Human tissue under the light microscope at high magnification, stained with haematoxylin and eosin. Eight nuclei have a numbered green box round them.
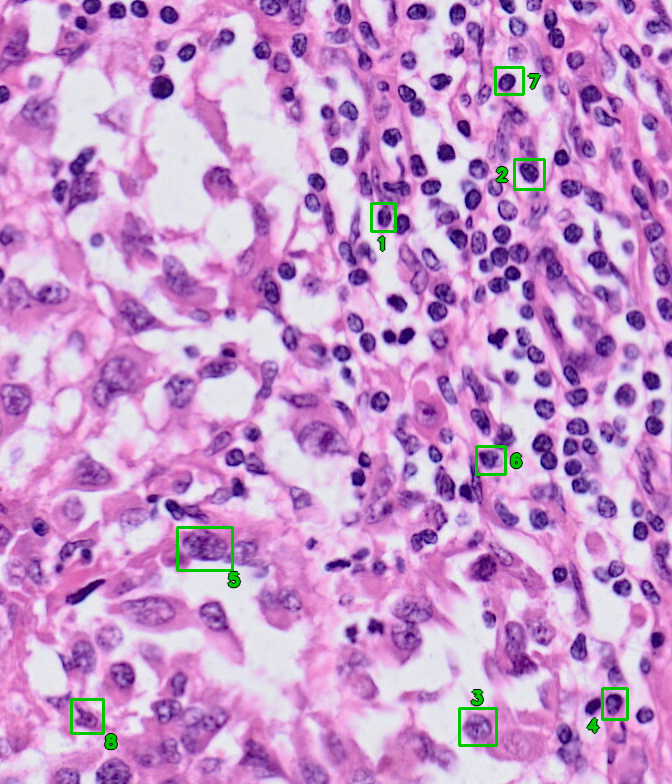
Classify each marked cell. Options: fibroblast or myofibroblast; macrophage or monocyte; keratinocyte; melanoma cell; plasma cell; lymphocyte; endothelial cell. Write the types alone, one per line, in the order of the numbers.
lymphocyte
lymphocyte
melanoma cell
lymphocyte
melanoma cell
lymphocyte
lymphocyte
melanoma cell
